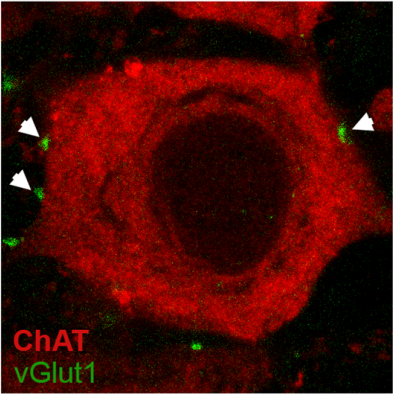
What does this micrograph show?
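A large, round, centrally placed nucleus appears darker than the surrounding cytoplasm and is bounded by a distinct rim. Broad processes leave the cell body toward the edges of the image. Small green puncta lie against the outer border of the cell body, several of them marked by white arrowheads. Dark spaces surround the cell, with parts of neighbouring red-stained profiles at the margins.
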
